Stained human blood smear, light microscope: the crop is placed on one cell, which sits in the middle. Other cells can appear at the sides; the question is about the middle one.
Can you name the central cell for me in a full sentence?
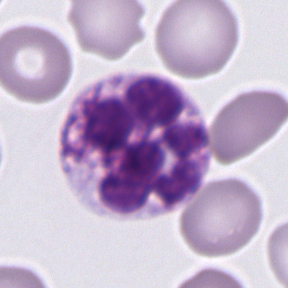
The cell under consideration, at the middle of the crop, is a basophil.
